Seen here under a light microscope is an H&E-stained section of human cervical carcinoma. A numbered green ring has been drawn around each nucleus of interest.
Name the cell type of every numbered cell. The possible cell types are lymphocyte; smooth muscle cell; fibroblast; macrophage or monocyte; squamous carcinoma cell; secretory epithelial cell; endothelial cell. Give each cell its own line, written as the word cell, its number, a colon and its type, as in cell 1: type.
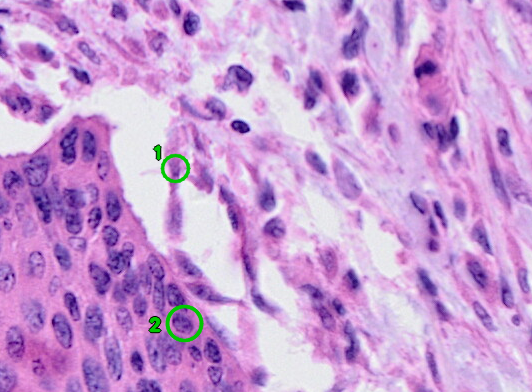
cell 1: fibroblast
cell 2: squamous carcinoma cell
